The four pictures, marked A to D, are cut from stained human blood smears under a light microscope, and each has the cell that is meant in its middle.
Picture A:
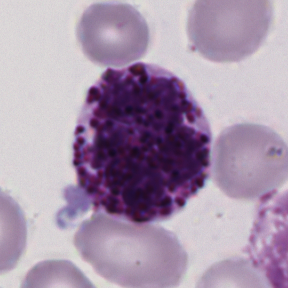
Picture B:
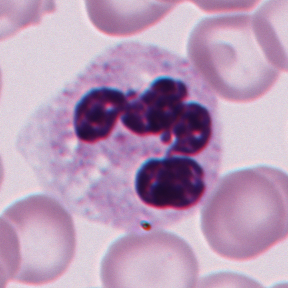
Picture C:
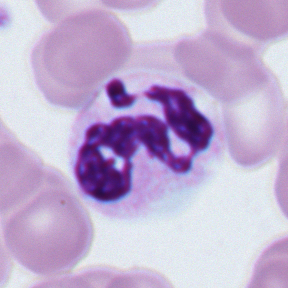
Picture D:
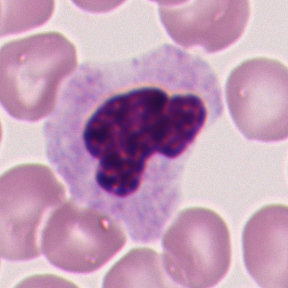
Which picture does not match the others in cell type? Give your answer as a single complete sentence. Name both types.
Unlike the rest, which show segmented neutrophils, picture A shows a basophil.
